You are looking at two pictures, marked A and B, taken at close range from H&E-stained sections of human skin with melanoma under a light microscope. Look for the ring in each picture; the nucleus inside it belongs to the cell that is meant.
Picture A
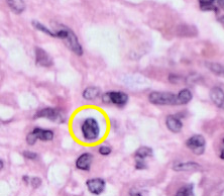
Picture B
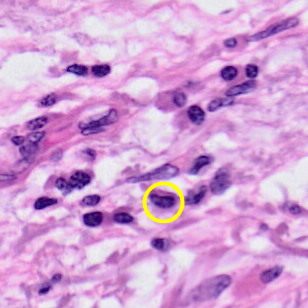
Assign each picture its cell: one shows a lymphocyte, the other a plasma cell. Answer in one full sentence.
In picture A the cell is a lymphocyte; in picture B, a plasma cell.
